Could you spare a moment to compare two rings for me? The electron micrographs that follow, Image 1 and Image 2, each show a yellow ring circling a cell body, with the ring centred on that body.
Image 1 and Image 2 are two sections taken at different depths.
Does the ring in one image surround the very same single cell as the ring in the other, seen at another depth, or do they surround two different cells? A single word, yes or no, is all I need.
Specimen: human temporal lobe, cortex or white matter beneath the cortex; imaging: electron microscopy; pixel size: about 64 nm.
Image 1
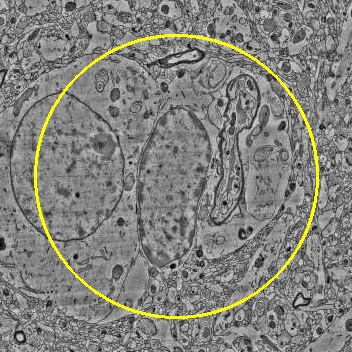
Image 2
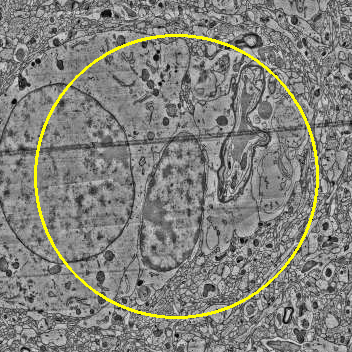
yes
